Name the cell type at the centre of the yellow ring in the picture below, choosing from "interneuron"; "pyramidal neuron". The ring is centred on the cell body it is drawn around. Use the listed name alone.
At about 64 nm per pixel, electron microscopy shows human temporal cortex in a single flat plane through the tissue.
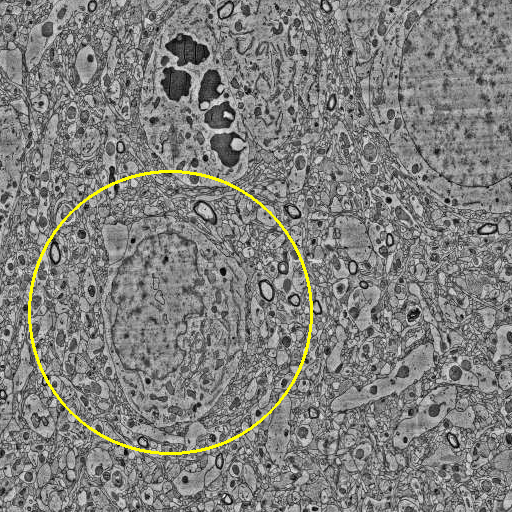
interneuron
